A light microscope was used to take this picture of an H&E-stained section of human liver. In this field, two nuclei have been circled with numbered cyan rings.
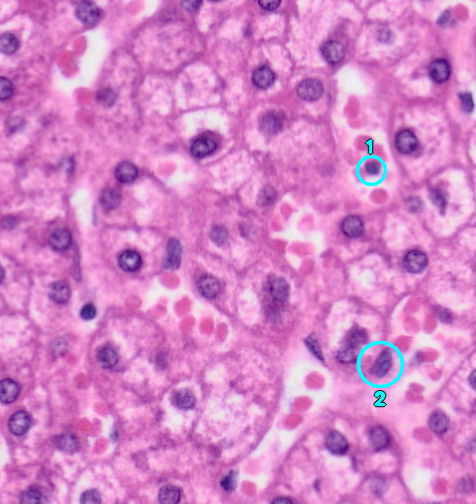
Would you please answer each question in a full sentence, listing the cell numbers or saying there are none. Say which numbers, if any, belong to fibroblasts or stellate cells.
Among the cells marked with numbers, the only one that is a fibroblast or stellate cell is number 2.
